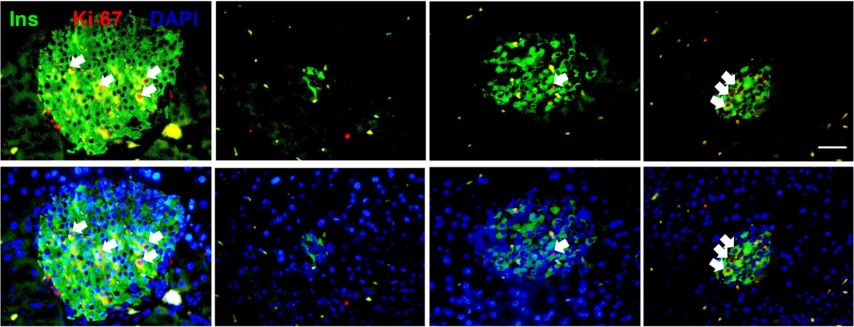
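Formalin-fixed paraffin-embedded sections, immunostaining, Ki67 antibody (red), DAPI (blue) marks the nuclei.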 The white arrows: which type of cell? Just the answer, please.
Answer: proliferating β-cells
